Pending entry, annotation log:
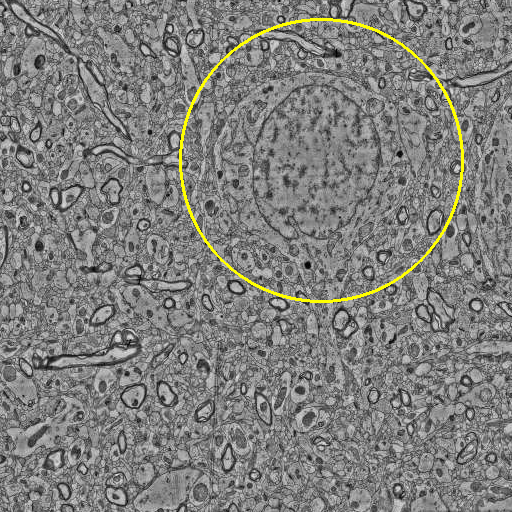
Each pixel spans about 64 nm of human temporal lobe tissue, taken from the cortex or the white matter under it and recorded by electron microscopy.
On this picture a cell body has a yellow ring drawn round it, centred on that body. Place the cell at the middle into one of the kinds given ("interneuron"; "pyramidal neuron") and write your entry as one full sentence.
The cell body at the middle of the yellow ring belongs to a pyramidal neuron.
